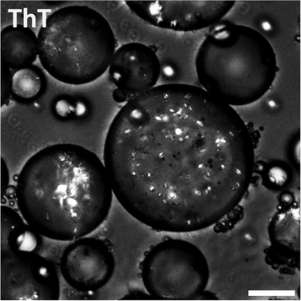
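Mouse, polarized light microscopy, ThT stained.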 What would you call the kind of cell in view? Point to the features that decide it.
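Loose round cells of varying size with thick dark rims. Each cell appears as one large spherical droplet. That points to this answer: isolated adipocytes.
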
